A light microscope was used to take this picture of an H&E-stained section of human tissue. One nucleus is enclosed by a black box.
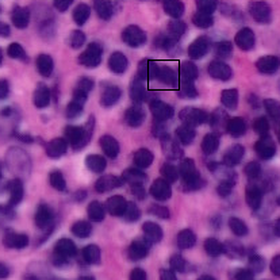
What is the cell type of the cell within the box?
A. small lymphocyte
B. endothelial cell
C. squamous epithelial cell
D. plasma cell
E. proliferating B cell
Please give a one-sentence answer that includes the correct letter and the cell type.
The correct identification, the cell within the box as a small lymphocyte, is given by option A.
